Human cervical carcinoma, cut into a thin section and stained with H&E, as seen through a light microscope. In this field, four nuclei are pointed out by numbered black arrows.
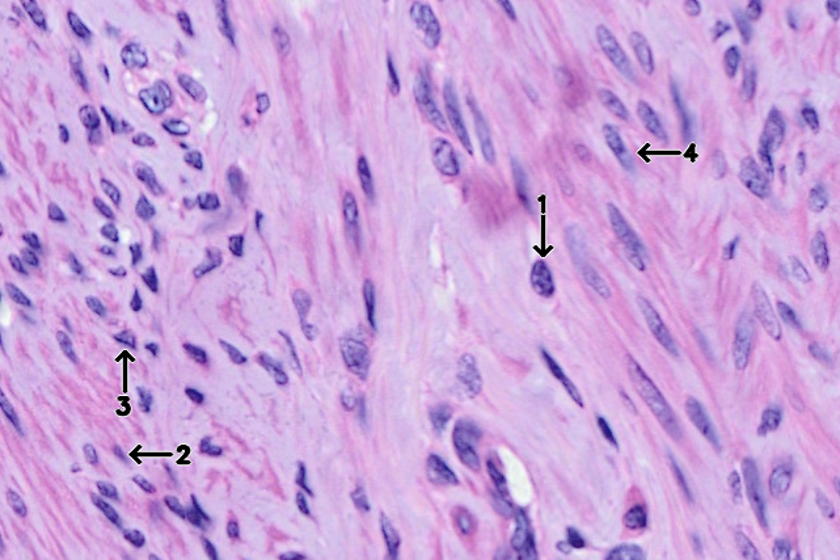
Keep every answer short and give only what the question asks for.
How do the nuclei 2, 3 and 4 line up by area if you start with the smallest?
2, 3, 4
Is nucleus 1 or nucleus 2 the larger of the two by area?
1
